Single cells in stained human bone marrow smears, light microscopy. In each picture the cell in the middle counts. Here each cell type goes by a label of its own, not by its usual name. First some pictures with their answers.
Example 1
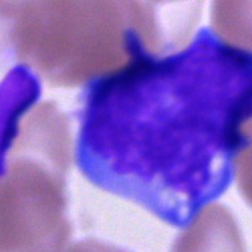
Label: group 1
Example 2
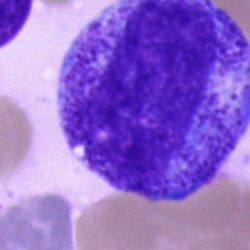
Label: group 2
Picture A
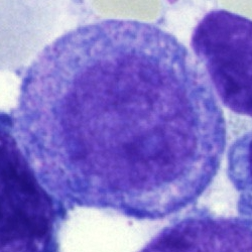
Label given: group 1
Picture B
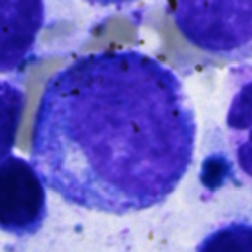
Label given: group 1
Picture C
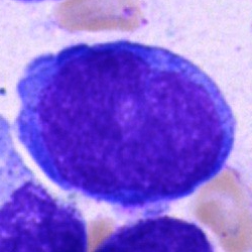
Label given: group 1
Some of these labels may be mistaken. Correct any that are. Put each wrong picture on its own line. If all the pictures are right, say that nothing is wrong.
A: group 2, not group 1
B: group 2, not group 1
